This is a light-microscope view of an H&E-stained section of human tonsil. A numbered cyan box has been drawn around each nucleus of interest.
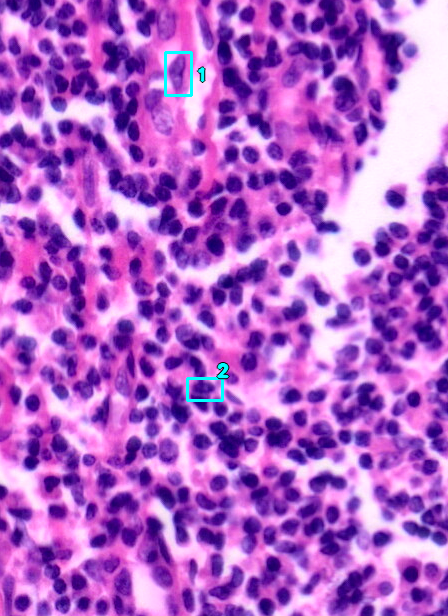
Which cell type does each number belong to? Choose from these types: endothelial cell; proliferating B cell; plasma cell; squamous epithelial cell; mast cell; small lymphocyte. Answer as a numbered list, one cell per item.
1. endothelial cell
2. small lymphocyte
